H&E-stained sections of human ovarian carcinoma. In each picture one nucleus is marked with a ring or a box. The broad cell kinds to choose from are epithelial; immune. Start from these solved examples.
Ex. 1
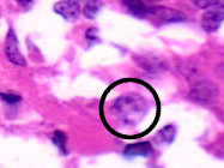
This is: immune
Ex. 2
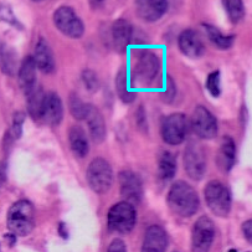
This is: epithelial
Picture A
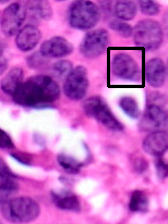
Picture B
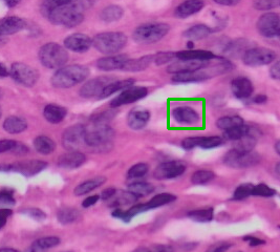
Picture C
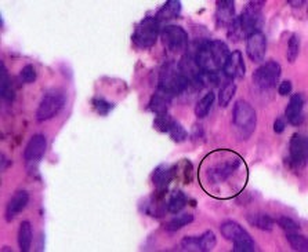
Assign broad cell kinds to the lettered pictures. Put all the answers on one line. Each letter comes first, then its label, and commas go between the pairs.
A epithelial, B immune, C epithelial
